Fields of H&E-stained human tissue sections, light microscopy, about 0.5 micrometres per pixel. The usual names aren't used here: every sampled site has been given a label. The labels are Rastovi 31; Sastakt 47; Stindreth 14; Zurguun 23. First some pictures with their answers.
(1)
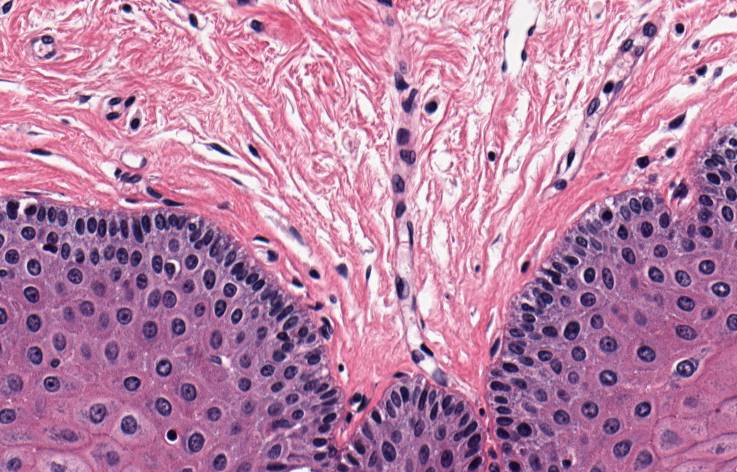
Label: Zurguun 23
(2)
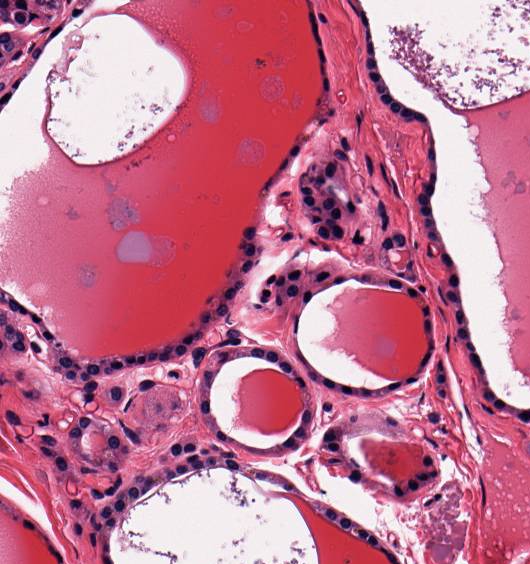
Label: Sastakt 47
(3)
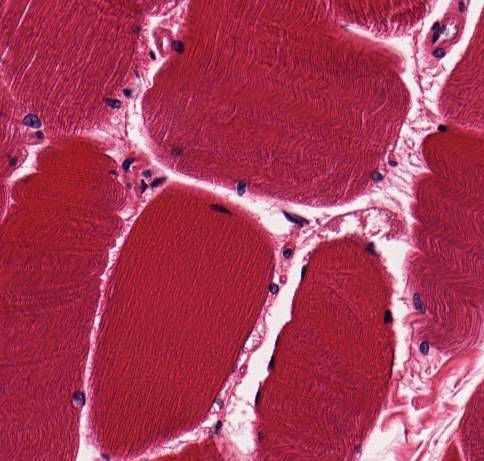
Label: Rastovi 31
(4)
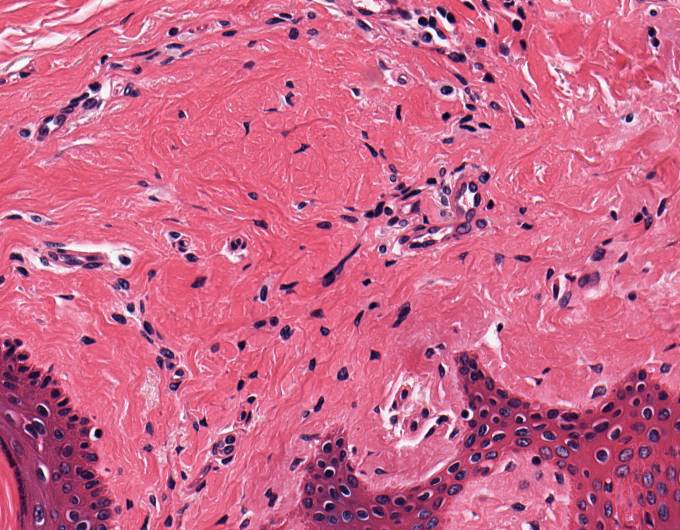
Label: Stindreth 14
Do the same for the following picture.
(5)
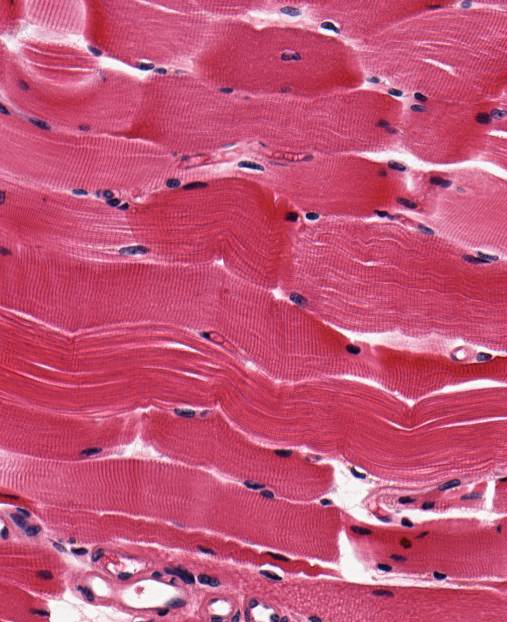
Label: Rastovi 31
